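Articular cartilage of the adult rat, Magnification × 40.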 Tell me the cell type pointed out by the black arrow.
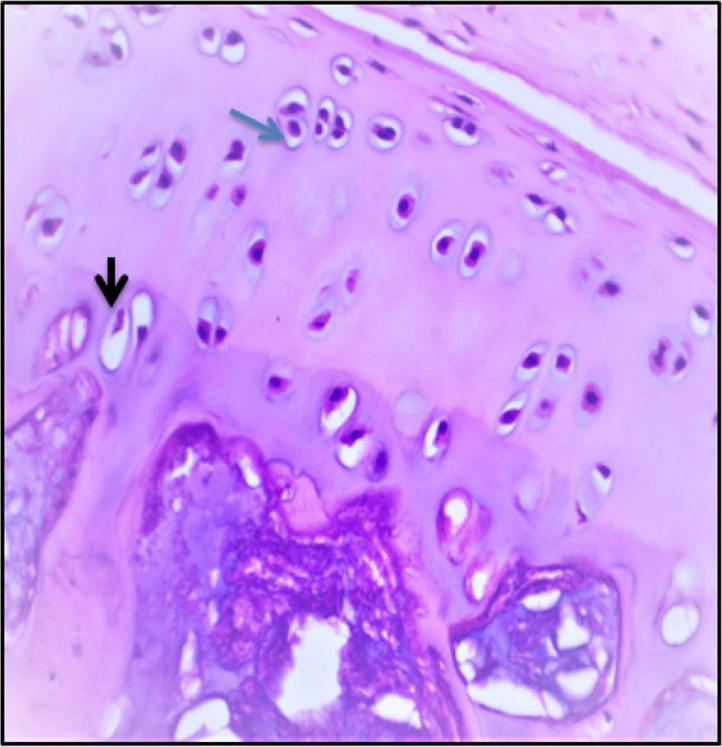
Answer: Hypertrophic chondrocytes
